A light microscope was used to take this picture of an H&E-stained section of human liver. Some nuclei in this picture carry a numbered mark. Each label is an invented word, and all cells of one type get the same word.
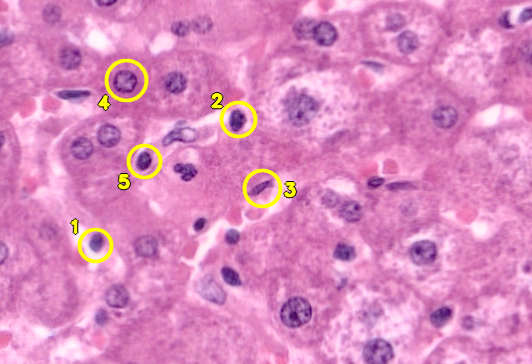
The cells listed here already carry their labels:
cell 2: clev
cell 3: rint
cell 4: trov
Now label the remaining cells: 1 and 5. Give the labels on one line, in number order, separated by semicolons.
clev; clev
